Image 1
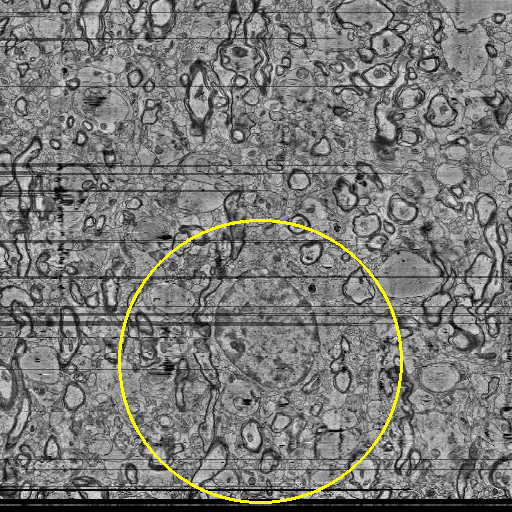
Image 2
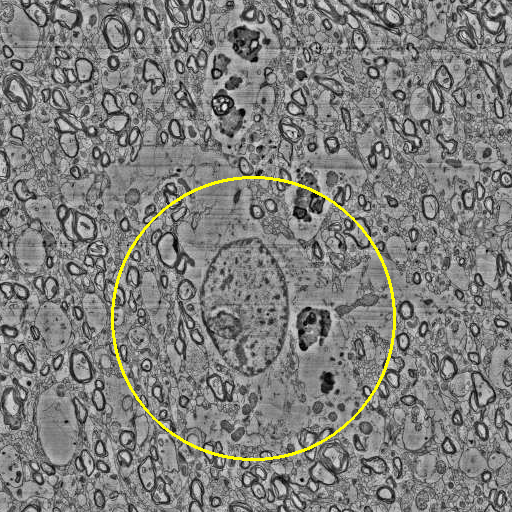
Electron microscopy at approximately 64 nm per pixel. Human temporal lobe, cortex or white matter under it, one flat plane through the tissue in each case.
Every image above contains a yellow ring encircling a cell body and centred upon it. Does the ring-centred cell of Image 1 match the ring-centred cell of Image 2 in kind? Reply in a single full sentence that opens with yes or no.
No, the cell at the ring's centre in Image 1 is a separate kind from that in Image 2.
